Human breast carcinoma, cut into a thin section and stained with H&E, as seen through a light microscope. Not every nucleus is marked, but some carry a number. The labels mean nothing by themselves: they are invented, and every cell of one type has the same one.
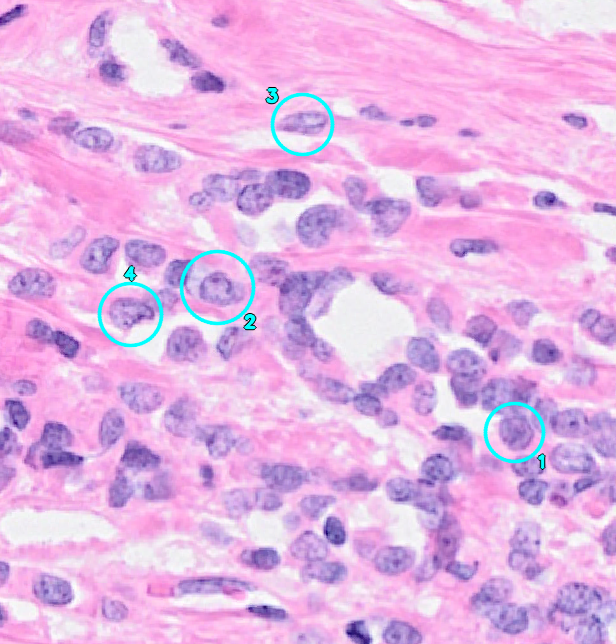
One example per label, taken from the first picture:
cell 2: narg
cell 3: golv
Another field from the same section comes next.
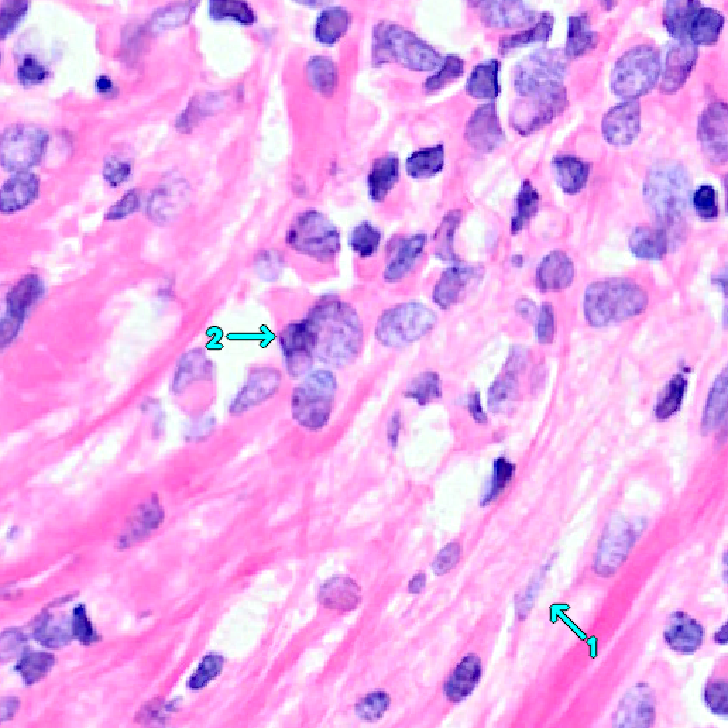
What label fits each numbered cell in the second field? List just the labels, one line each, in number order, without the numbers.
golv
narg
